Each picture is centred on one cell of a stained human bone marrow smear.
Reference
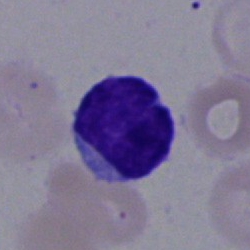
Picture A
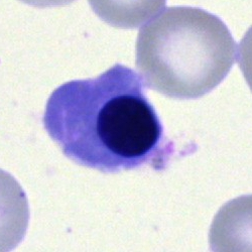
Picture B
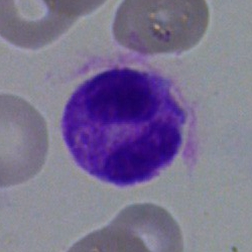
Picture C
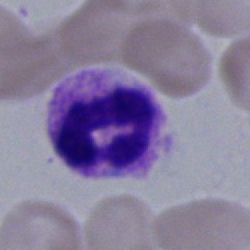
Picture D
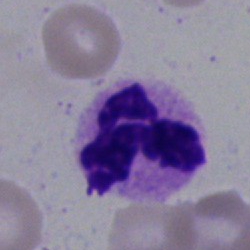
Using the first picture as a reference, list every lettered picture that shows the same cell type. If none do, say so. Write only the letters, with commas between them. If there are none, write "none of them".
none of them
